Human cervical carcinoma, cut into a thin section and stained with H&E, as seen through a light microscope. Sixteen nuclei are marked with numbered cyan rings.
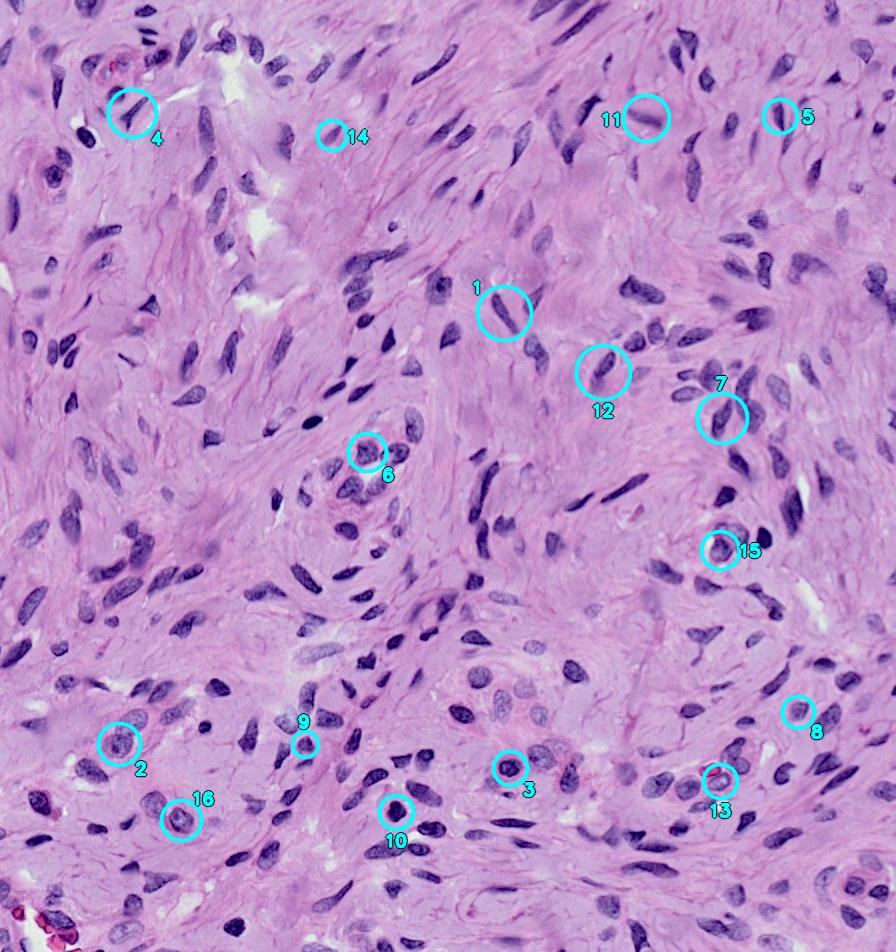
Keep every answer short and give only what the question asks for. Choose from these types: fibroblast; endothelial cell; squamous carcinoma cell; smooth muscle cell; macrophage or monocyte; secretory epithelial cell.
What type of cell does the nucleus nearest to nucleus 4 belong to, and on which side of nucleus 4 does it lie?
a smooth muscle cell; above and to the left of nucleus 4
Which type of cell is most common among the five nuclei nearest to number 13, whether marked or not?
endothelial cell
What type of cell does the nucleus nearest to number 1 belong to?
fibroblast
